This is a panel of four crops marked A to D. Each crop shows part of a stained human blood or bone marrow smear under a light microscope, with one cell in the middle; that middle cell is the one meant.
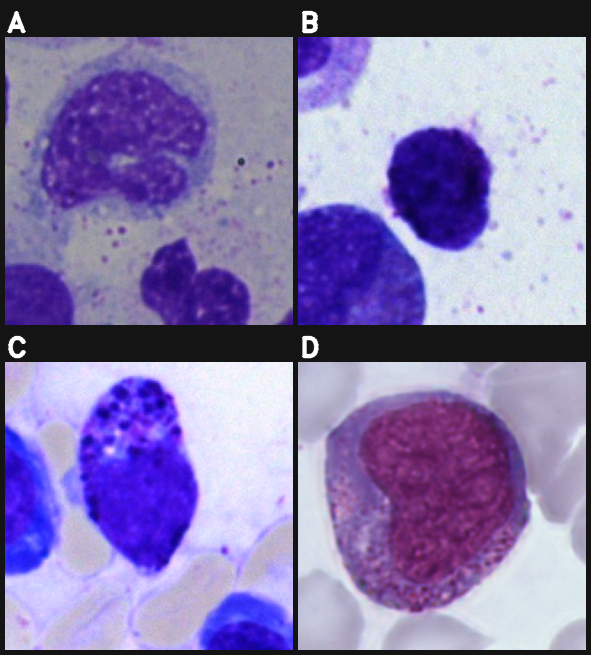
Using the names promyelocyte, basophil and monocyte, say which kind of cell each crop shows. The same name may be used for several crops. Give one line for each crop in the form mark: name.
A: monocyte
B: basophil
C: basophil
D: promyelocyte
